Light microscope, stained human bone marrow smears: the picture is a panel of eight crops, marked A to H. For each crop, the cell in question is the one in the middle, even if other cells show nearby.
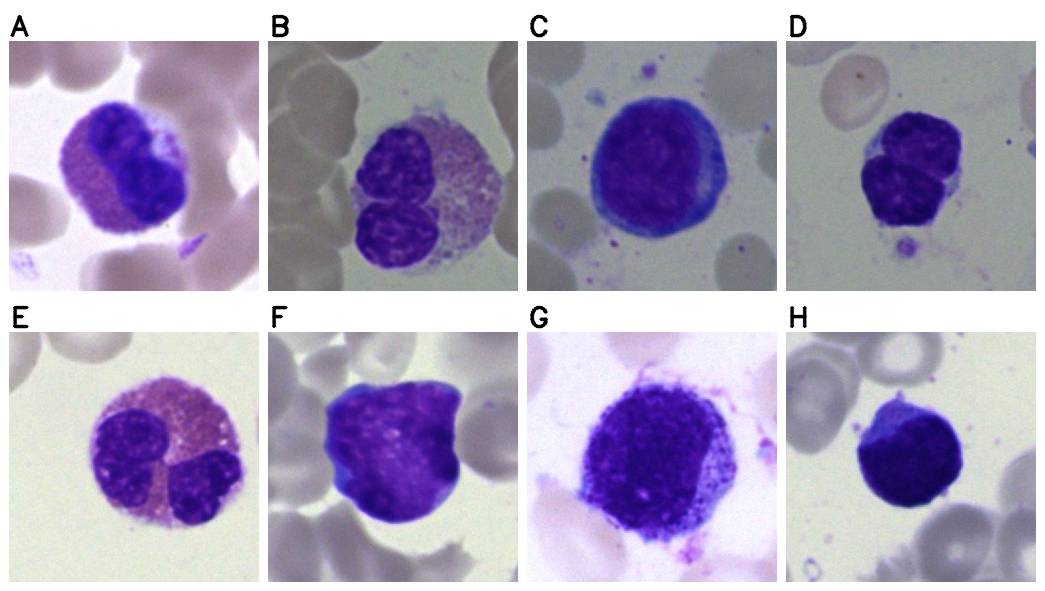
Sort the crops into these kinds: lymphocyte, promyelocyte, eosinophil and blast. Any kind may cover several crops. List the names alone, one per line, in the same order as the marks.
eosinophil
eosinophil
blast
lymphocyte
eosinophil
blast
promyelocyte
blast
